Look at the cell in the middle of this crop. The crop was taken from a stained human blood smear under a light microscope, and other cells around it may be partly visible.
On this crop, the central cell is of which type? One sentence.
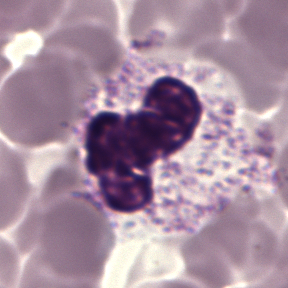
Answering briefly, the cell in the middle is a segmented neutrophil.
